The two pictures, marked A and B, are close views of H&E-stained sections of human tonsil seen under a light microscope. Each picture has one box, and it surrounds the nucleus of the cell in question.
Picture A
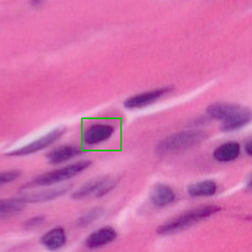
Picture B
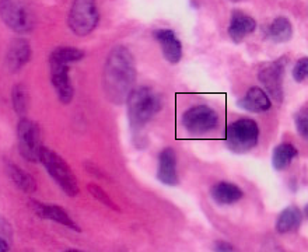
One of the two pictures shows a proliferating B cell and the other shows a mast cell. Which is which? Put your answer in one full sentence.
In picture A the cell is a mast cell; in picture B, a proliferating B cell.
